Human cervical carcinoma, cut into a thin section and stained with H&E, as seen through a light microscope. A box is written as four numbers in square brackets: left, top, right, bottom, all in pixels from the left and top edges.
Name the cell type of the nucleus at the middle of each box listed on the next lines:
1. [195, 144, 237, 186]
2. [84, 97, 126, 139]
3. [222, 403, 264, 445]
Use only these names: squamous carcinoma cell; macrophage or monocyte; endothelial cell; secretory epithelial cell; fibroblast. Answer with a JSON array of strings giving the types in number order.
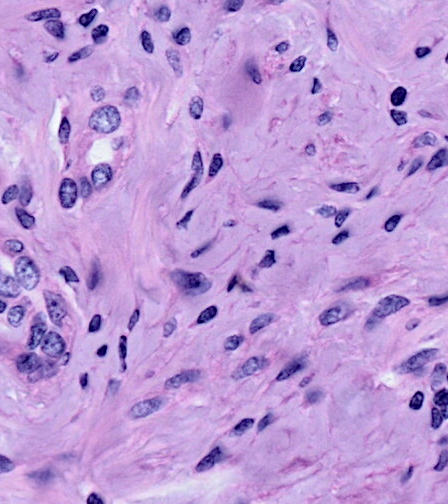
["fibroblast", "endothelial cell", "fibroblast"]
